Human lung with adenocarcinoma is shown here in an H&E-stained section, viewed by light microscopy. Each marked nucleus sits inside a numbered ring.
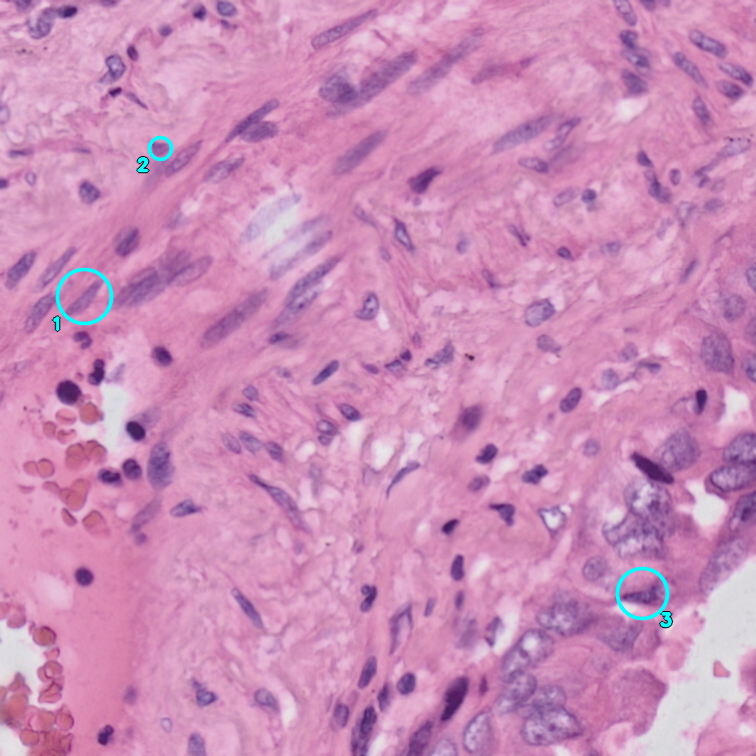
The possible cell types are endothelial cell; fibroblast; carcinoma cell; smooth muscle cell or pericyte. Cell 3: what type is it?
carcinoma cell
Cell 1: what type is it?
smooth muscle cell or pericyte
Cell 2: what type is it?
smooth muscle cell or pericyte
